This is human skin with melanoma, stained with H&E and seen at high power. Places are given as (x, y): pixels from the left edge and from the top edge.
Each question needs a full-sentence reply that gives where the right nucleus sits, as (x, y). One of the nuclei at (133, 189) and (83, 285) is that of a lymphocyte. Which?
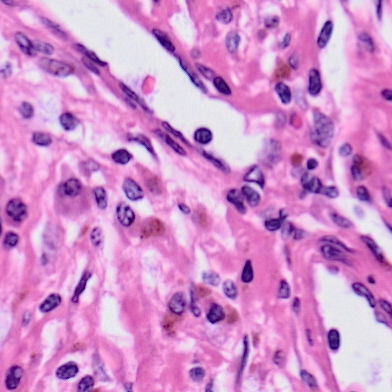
The one at (133, 189) is the nucleus belonging to a lymphocyte, not the other one.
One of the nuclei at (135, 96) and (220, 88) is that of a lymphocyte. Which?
Of the two nuclei, it is the one at (220, 88) that lies within a lymphocyte.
